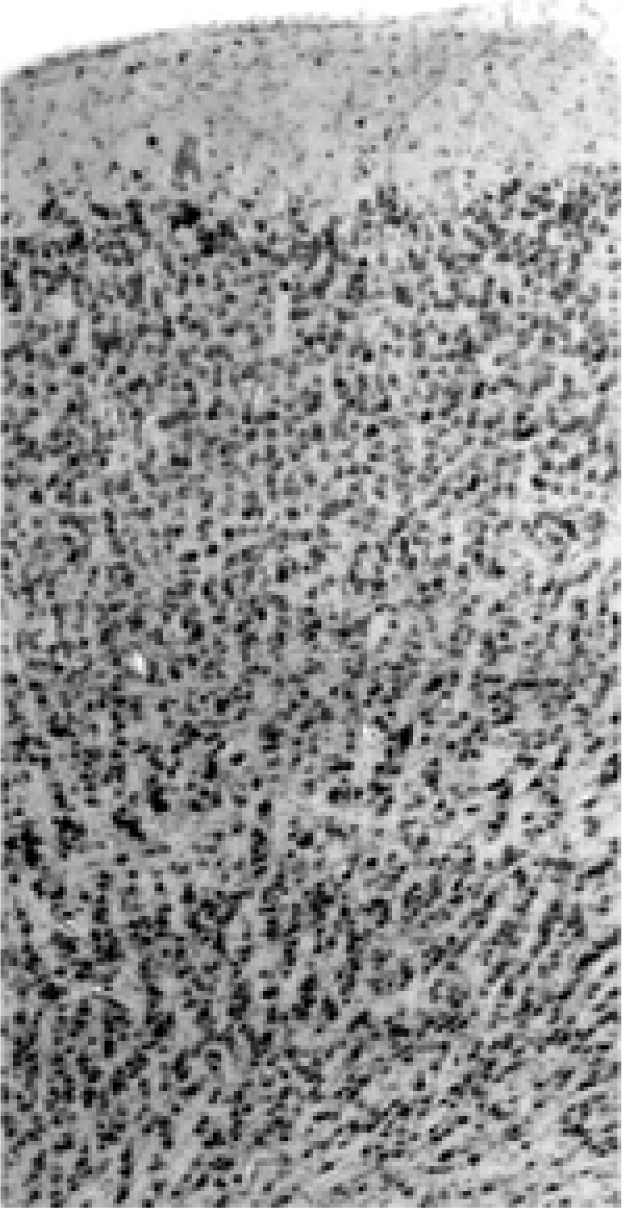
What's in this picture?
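Full-thickness cerebral cortex with densely and evenly distributed dark-stained neuronal cell bodies beneath a pale, cell-sparse superficial layer at the pial surface. Below this molecular layer the cell bodies are packed closely through the depth of the section. Small dark somata in the upper part give way to somewhat larger cells deeper down, some arranged in faint vertical columns.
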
